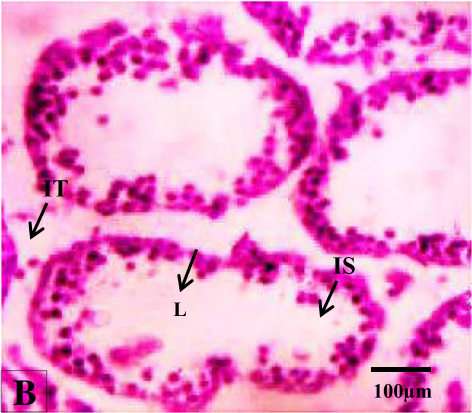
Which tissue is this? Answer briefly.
Seminiferous tubules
